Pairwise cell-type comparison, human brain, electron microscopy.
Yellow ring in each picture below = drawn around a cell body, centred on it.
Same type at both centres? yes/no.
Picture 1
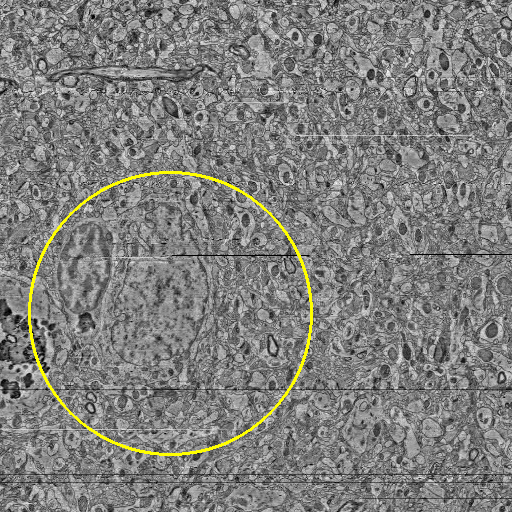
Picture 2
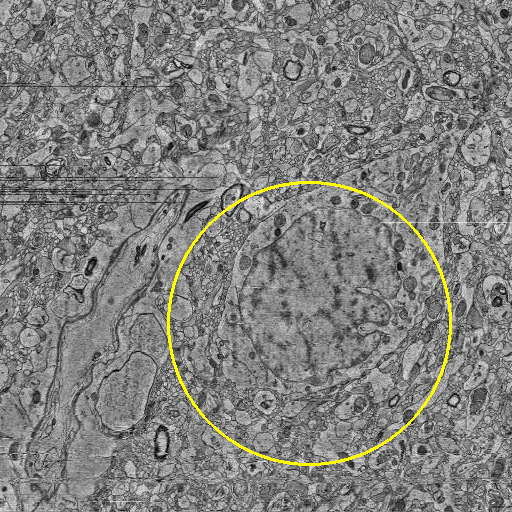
yes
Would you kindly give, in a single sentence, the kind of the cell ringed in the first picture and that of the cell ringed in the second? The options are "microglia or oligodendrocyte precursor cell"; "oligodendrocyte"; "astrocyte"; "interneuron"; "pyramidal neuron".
Each of the ringed cells, first and second, is an interneuron.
